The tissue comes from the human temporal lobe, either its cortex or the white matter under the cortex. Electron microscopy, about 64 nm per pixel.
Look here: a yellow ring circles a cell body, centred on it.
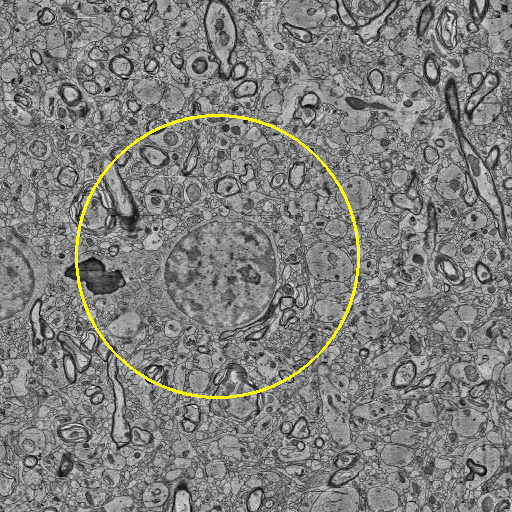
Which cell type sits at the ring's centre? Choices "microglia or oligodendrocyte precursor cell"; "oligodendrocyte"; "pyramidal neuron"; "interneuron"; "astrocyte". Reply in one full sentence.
The cell at the centre of the yellow ring in the picture is an oligodendrocyte.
